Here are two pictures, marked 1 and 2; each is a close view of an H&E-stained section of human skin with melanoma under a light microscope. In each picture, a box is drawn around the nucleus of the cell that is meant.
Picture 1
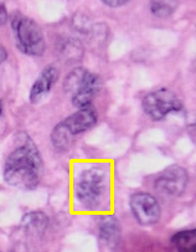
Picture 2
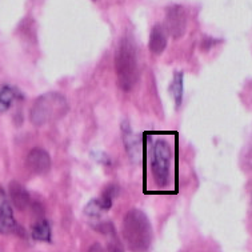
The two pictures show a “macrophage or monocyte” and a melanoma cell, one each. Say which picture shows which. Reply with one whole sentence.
In picture 1 the cell is a melanoma cell; in picture 2, a “macrophage or monocyte”.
